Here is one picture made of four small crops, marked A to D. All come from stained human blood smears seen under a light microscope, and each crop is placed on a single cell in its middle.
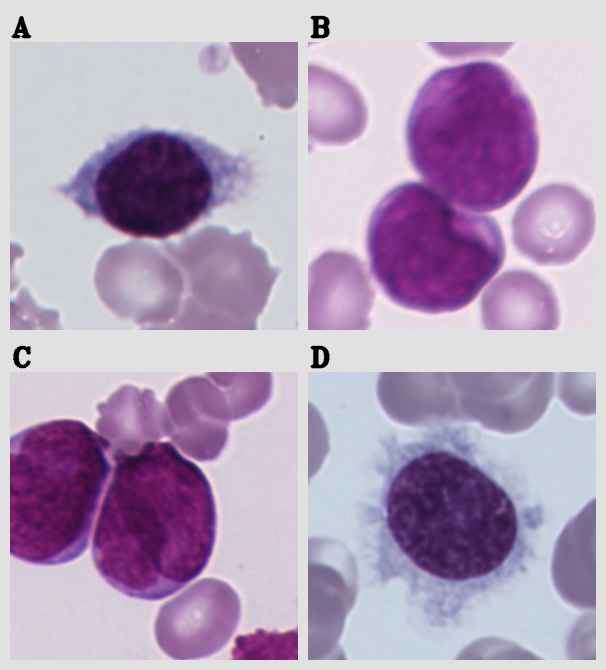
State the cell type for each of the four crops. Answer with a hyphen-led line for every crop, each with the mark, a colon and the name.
- A: hairy cell
- B: myeloblast
- C: myeloblast
- D: hairy cell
